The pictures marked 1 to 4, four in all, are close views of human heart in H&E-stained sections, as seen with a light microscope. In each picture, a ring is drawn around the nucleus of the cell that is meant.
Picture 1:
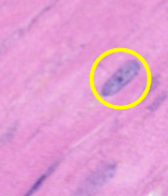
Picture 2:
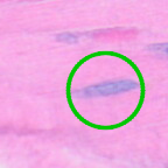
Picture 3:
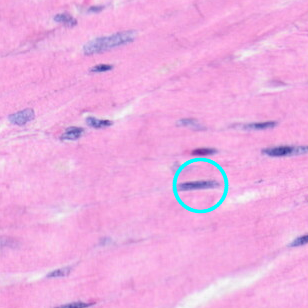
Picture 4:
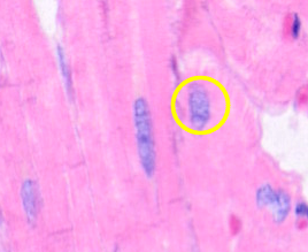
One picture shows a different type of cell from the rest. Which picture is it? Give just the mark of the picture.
3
